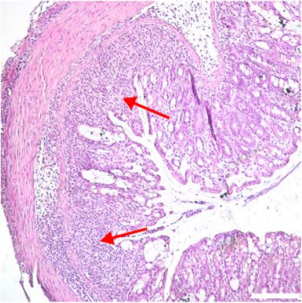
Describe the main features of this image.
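A section of colon wall with a thick pink outer muscular layer and a mucosa whose crypts are sparse and distorted. Large areas between the muscle and the remaining crypts are crowded with small dark purple nuclei of infiltrating inflammatory cells, pointed out by the red arrows.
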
